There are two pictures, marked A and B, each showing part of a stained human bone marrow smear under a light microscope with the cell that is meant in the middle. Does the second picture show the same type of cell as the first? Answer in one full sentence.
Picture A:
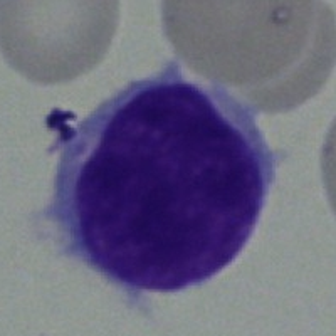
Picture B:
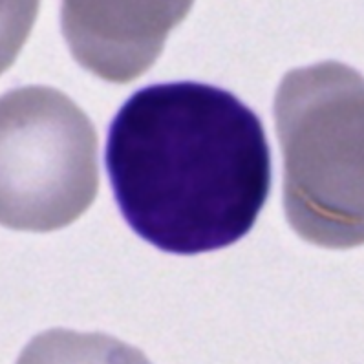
Yes, both are lymphocytes.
